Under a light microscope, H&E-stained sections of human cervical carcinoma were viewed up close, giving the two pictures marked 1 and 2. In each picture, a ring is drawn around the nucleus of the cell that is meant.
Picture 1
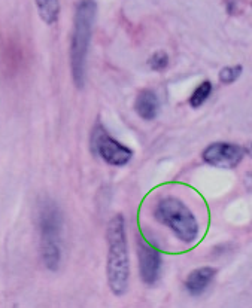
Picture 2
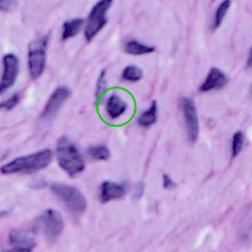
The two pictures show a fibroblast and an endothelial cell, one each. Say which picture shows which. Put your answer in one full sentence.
Picture 1 shows an endothelial cell and picture 2 shows a fibroblast.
